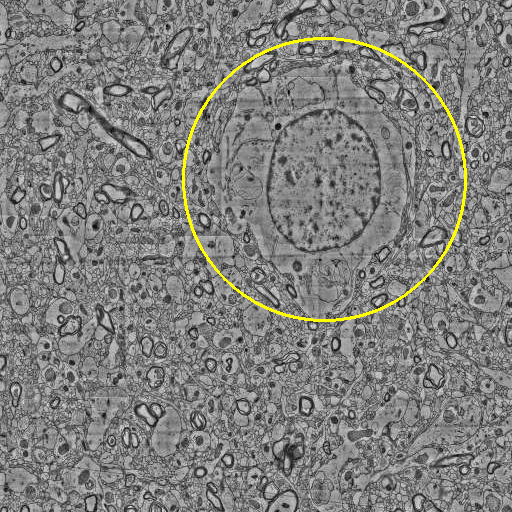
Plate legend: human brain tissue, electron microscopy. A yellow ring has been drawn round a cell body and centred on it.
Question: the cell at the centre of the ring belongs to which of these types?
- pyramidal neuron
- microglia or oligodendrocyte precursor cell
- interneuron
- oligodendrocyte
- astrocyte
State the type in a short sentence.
The cell in the middle of the ring is an astrocyte.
